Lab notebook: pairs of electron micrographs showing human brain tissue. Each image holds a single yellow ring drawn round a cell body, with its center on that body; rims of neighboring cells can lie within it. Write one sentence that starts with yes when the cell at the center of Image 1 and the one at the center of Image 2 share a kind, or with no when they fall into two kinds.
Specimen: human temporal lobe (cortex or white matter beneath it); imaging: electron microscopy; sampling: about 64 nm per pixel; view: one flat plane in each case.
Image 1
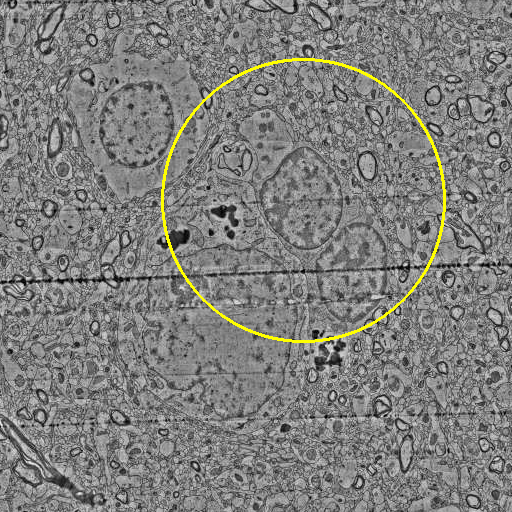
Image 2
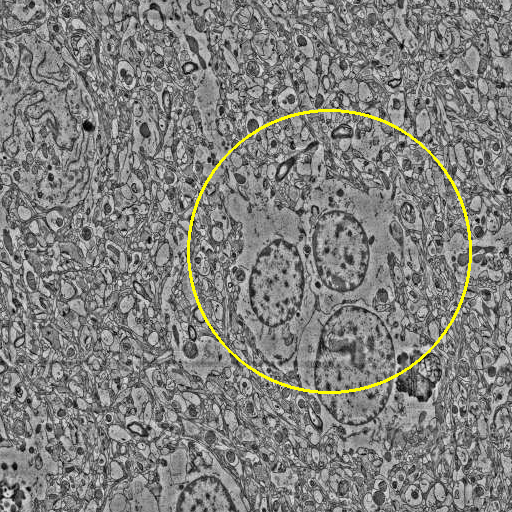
No, the centered cell in Image 1 and the centered cell in Image 2 are of two kinds.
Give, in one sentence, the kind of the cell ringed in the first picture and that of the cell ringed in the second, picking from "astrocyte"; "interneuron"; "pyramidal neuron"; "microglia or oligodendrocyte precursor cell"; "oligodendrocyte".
For the first picture it is an oligodendrocyte; for the second, an astrocyte.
